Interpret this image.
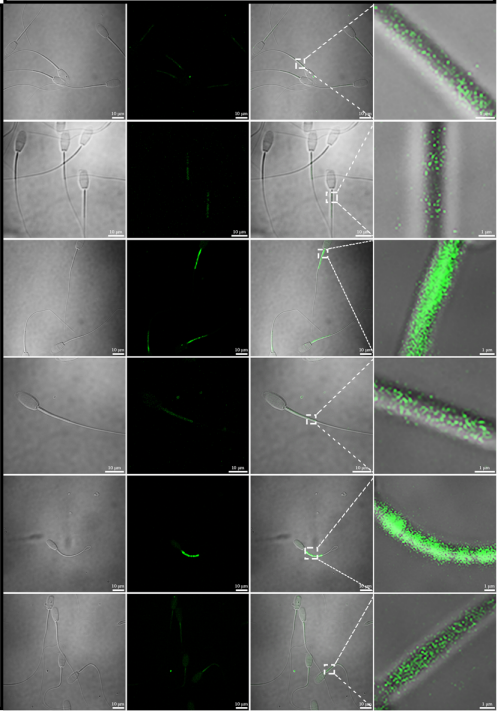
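These are spermatozoa seen in bright-field, with flattened oval heads on slender necks and long tails that curve across the field. The green fluorescence is faint in most cells and mostly follows the tails rather than the heads. In the enlarged tiles a tail segment is covered with small green dots, which in some rows merge into a dense, almost continuous bright green band along the tail.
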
